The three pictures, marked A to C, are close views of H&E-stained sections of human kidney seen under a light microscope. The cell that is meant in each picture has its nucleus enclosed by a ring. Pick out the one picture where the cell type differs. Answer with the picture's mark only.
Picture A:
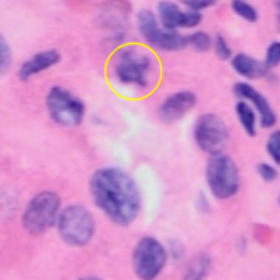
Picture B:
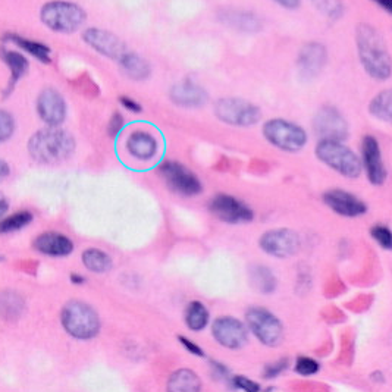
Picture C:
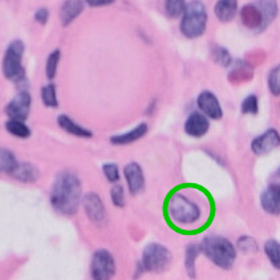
A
